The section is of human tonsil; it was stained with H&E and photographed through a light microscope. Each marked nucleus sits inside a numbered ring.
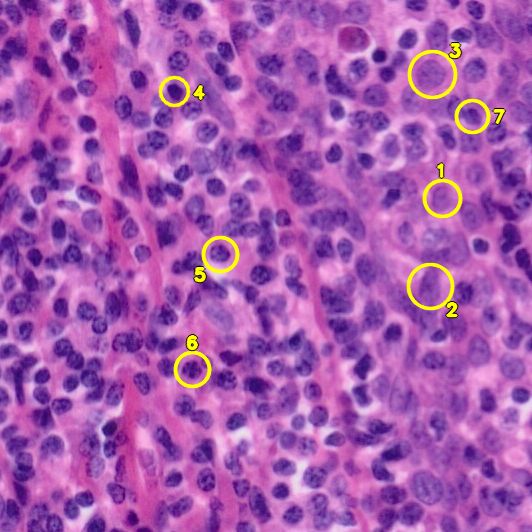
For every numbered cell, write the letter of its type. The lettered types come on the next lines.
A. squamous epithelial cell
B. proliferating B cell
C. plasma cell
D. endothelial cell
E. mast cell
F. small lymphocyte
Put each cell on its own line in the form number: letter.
1: A
2: A
3: A
4: C
5: C
6: C
7: A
